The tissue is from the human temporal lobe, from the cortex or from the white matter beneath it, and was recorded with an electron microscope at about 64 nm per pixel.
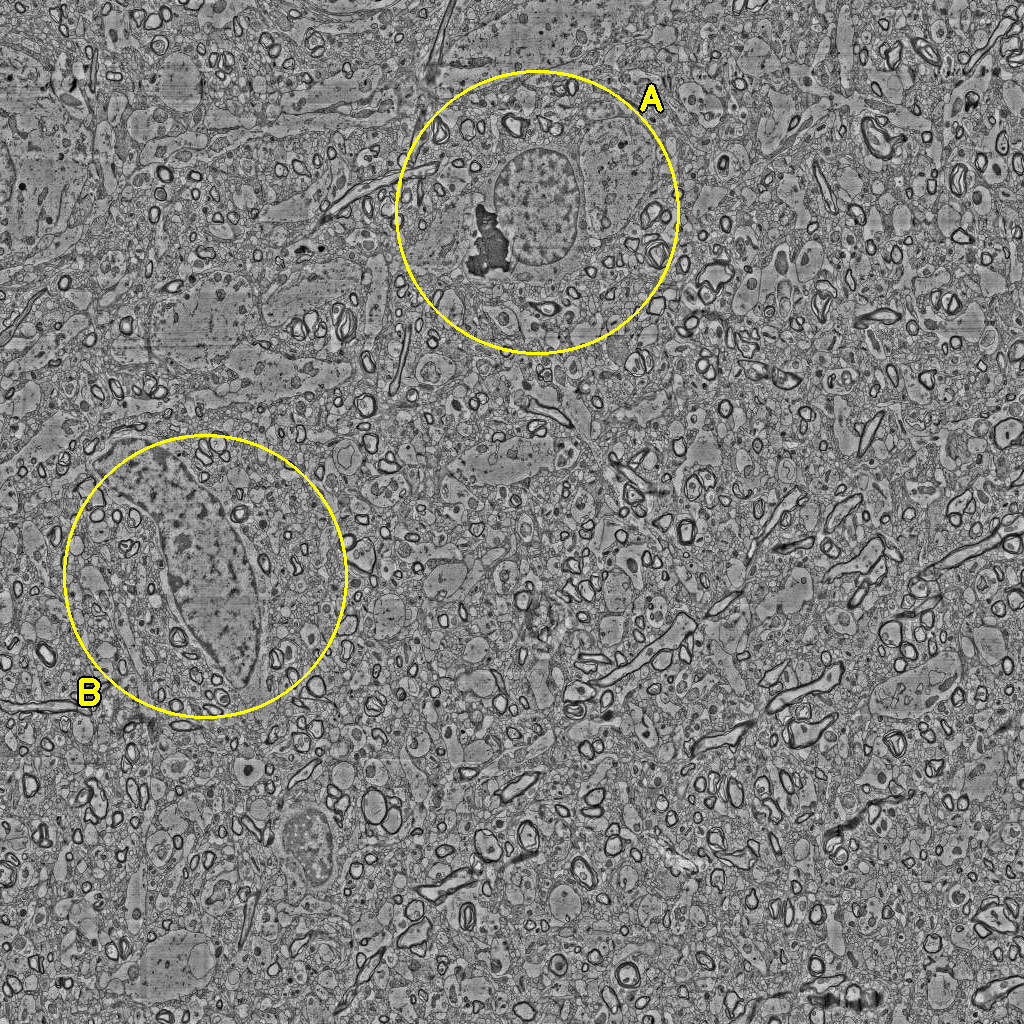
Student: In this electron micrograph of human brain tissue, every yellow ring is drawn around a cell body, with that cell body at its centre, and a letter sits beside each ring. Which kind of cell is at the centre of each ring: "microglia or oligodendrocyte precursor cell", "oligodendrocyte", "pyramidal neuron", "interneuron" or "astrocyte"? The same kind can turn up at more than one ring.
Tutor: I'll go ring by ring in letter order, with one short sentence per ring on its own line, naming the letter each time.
Ring A: the cell at its centre is an oligodendrocyte.
Ring B: the cell at its centre is a microglial cell or oligodendrocyte precursor cell.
